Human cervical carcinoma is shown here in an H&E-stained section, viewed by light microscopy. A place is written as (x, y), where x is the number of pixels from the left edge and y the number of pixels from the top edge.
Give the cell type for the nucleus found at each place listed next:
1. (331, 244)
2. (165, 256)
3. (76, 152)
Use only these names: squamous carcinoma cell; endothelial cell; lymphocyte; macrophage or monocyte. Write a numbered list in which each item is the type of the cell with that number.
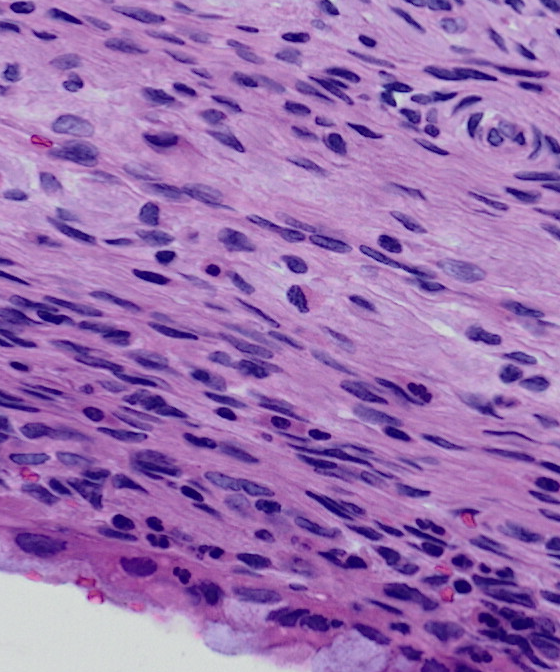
1. endothelial cell
2. lymphocyte
3. endothelial cell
